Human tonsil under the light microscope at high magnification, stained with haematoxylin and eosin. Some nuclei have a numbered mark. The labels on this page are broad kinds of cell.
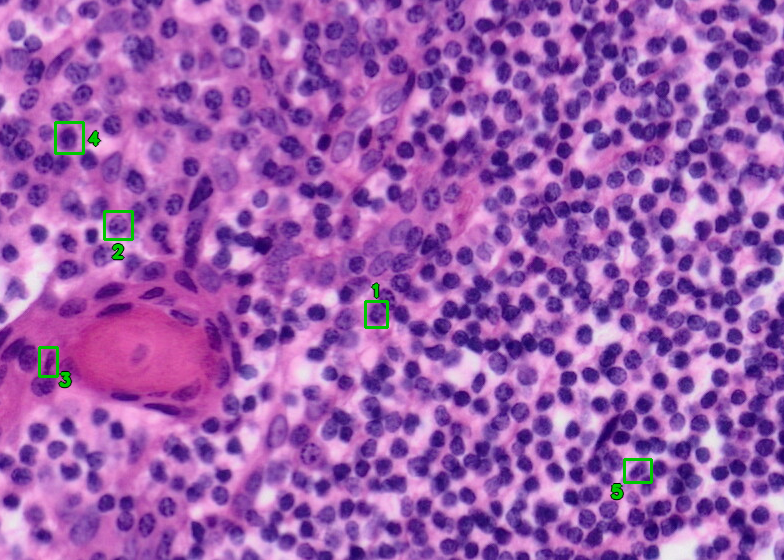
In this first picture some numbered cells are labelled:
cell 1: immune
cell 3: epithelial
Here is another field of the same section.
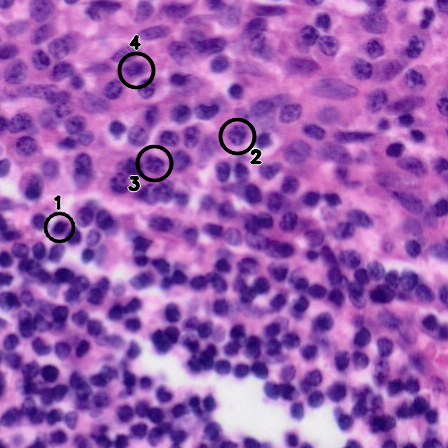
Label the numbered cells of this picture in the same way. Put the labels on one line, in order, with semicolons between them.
immune; immune; immune; epithelial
